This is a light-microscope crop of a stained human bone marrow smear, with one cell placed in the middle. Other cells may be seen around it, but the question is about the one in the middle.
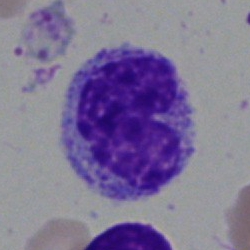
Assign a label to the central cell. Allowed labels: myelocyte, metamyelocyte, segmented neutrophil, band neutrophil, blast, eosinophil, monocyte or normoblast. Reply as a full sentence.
In short, the cell at the center is a monocyte.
